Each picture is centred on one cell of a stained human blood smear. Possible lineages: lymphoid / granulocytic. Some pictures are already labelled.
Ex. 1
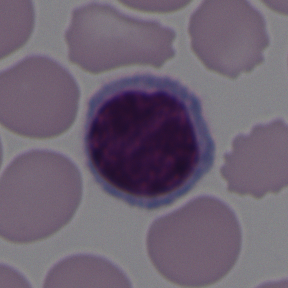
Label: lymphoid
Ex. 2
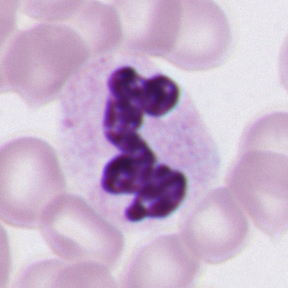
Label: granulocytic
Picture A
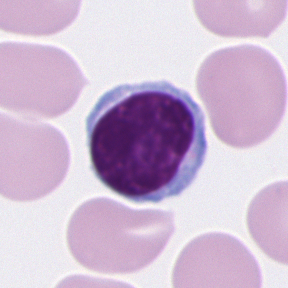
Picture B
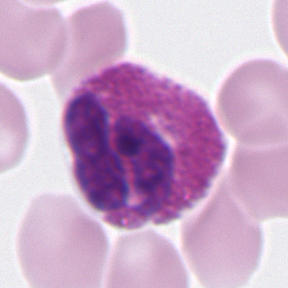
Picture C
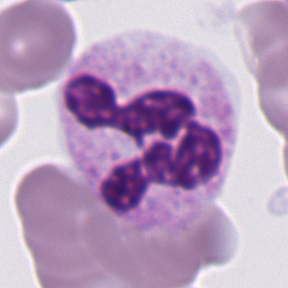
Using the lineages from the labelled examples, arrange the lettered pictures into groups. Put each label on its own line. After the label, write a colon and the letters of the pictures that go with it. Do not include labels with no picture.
lymphoid: A
granulocytic: B, C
